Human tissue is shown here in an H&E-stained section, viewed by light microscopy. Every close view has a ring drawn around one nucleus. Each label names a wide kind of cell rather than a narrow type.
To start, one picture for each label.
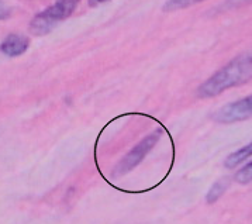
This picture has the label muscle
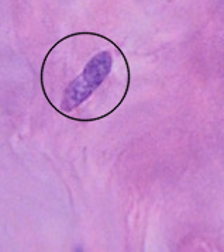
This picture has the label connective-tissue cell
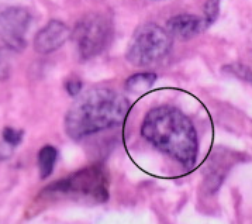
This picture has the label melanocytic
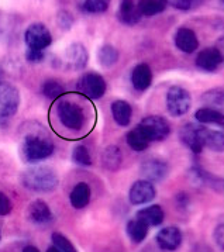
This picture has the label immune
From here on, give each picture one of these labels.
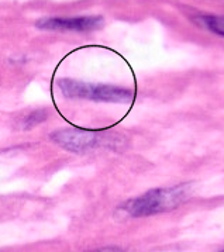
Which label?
connective-tissue cell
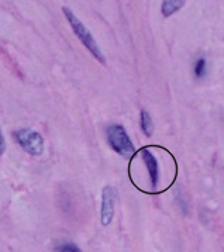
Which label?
connective-tissue cell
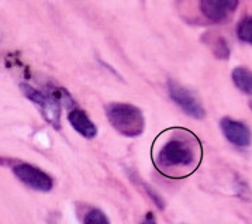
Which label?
immune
